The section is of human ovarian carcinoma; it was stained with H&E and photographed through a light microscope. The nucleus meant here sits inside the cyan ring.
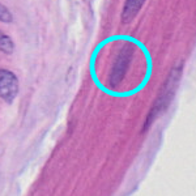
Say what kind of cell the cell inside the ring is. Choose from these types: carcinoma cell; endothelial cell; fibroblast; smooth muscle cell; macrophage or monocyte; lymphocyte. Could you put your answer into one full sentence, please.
The expected answer is simply that the cell inside the ring is a smooth muscle cell.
